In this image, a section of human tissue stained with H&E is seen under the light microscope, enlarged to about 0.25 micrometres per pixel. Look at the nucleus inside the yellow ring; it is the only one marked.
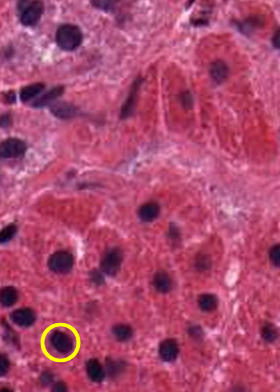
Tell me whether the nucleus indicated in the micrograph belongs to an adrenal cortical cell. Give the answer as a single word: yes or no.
yes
